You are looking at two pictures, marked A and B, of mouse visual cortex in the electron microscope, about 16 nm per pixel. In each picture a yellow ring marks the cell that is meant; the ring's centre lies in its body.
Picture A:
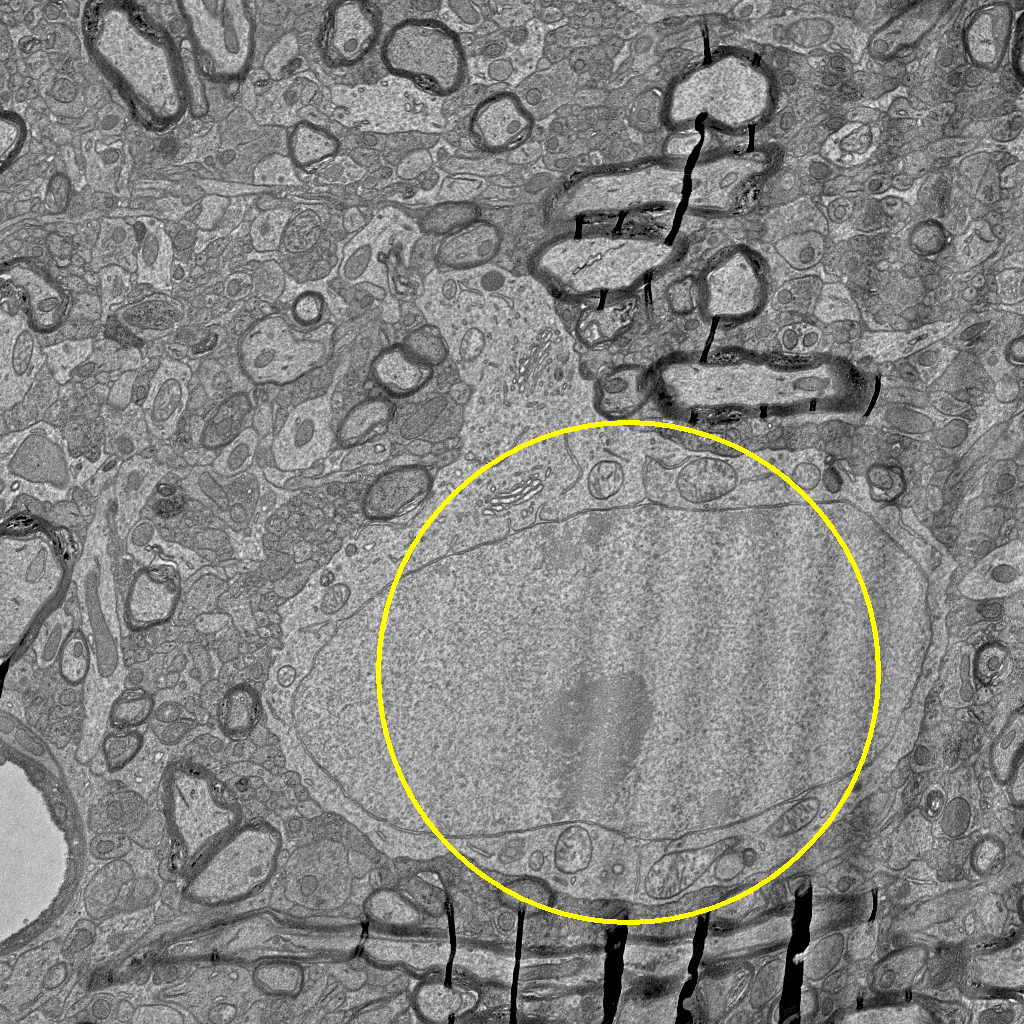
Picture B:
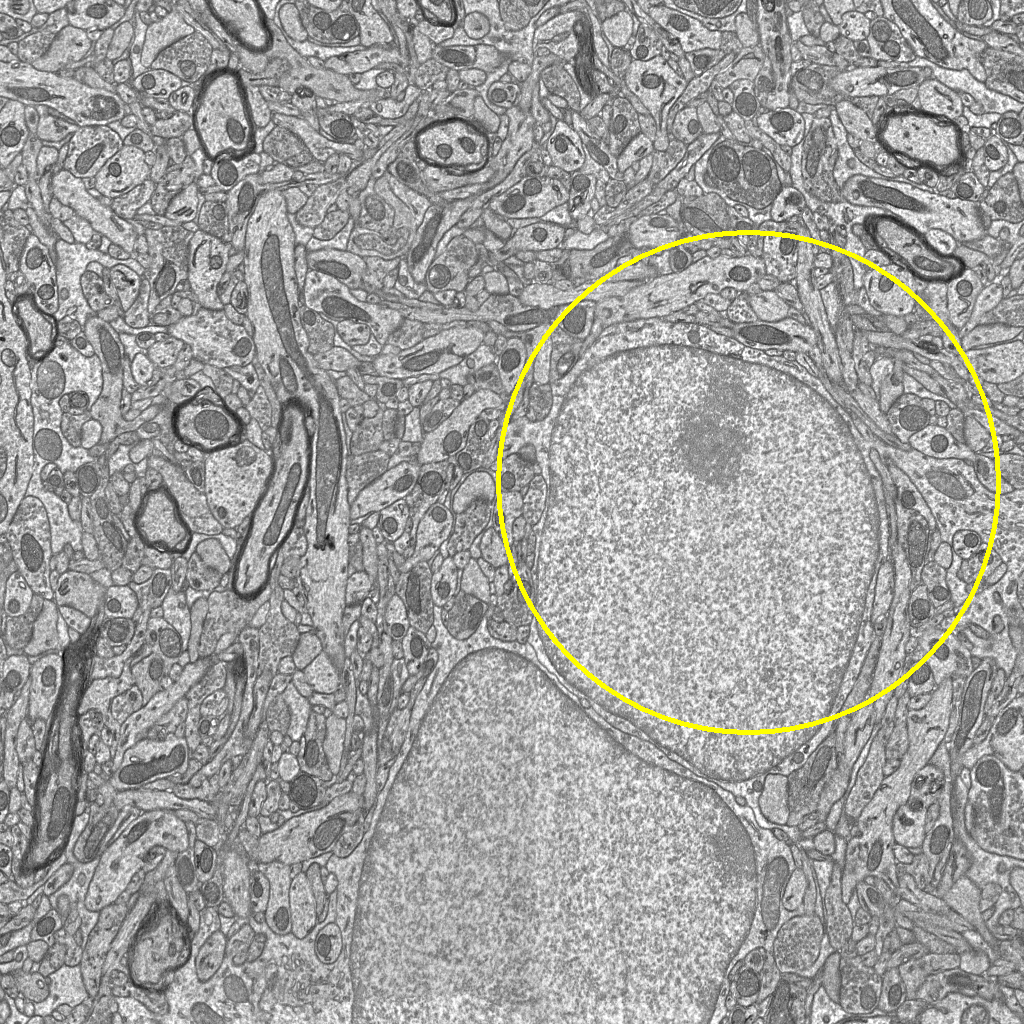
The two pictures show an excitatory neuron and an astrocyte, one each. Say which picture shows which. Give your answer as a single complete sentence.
Picture A is of an excitatory neuron, and picture B is of an astrocyte.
